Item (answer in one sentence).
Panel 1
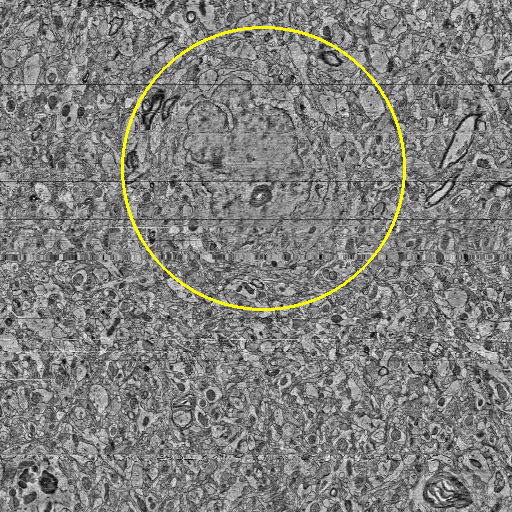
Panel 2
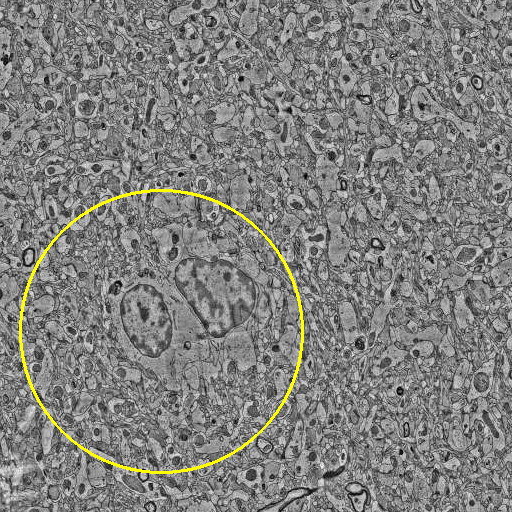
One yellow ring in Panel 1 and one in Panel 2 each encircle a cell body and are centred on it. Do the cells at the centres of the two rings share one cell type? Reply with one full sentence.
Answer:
No, Panel 1 and Panel 2 show cells of two types at the centres of their rings.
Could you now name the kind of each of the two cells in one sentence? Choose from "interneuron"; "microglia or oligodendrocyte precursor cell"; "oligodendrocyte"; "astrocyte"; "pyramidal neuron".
The first ring encloses an interneuron; the second ring encloses a microglial cell or oligodendrocyte precursor cell.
